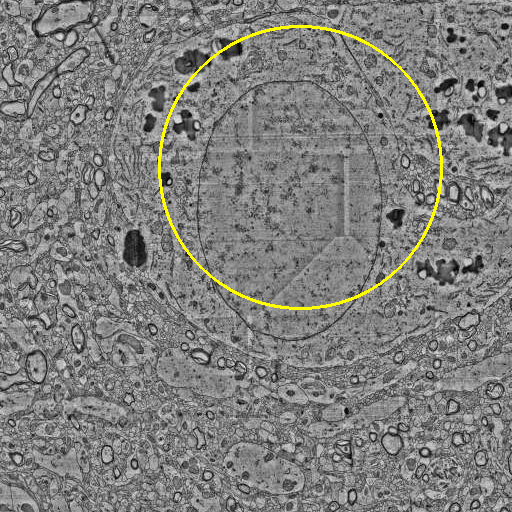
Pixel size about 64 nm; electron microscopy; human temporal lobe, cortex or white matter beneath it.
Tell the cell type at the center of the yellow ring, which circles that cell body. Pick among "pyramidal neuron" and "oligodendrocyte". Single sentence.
The ring is centered on the body of a pyramidal neuron.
